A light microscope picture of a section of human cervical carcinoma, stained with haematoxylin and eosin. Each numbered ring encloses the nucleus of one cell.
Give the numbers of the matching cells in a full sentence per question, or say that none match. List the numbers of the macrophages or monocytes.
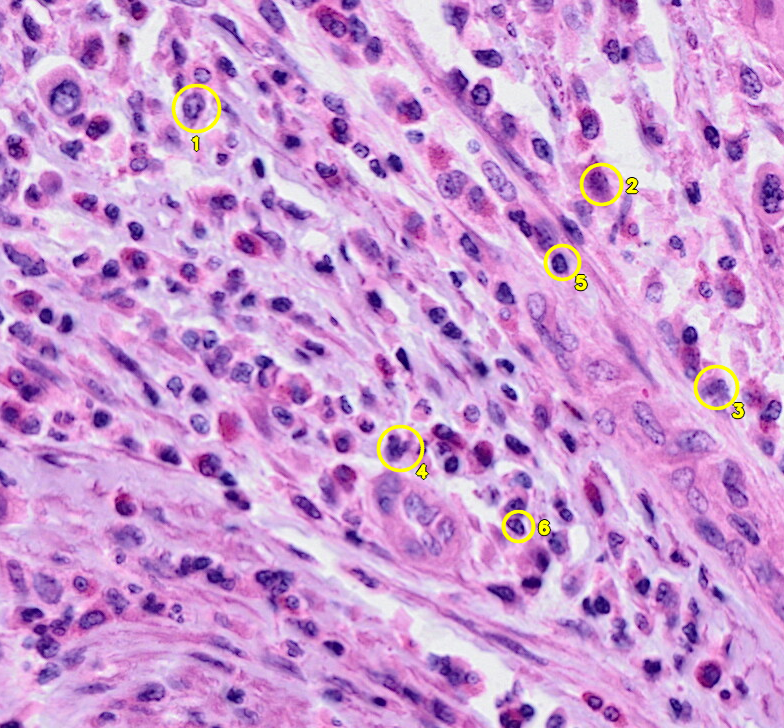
The cells to which the numbers 1, 2 and 3 refer are macrophages or monocytes.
